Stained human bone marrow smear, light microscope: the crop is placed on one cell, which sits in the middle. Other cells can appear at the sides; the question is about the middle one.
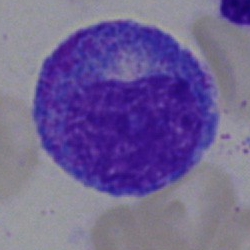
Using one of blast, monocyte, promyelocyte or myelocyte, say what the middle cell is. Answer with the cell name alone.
promyelocyte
